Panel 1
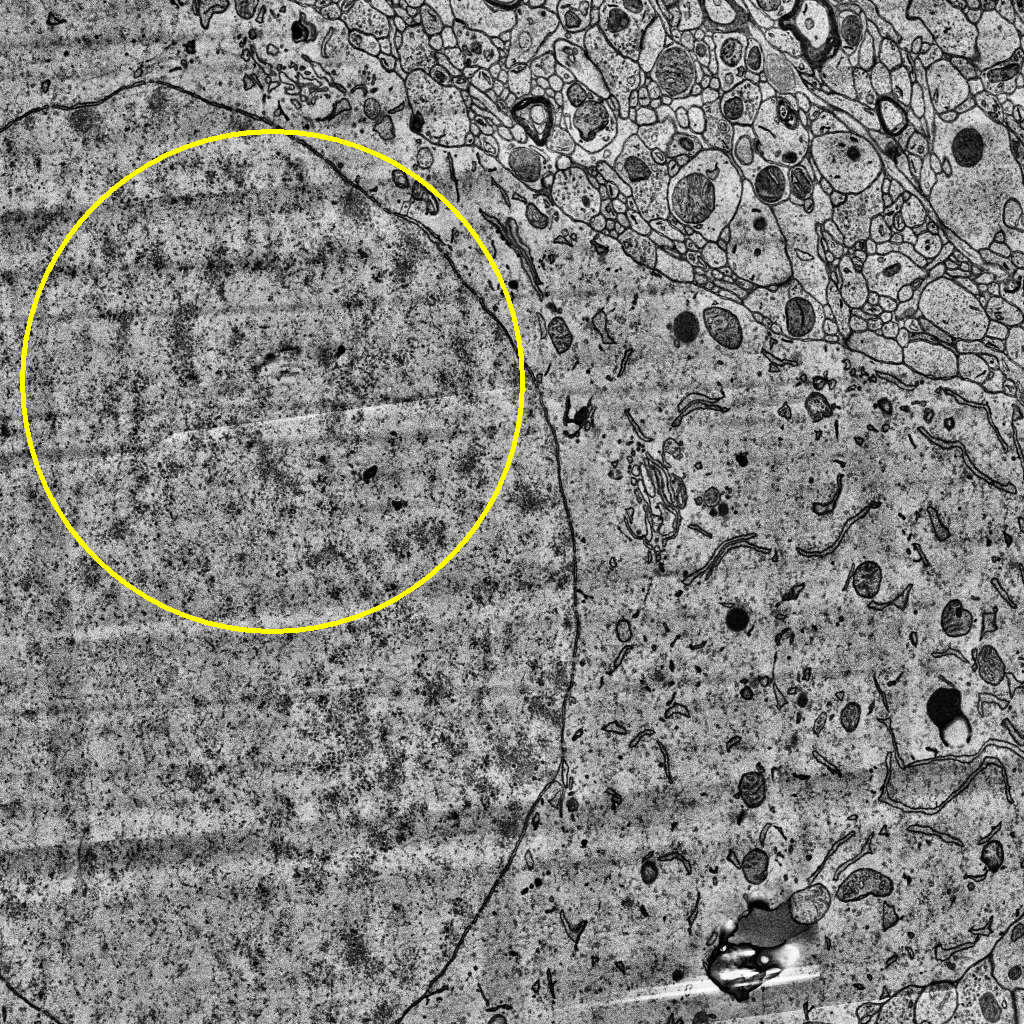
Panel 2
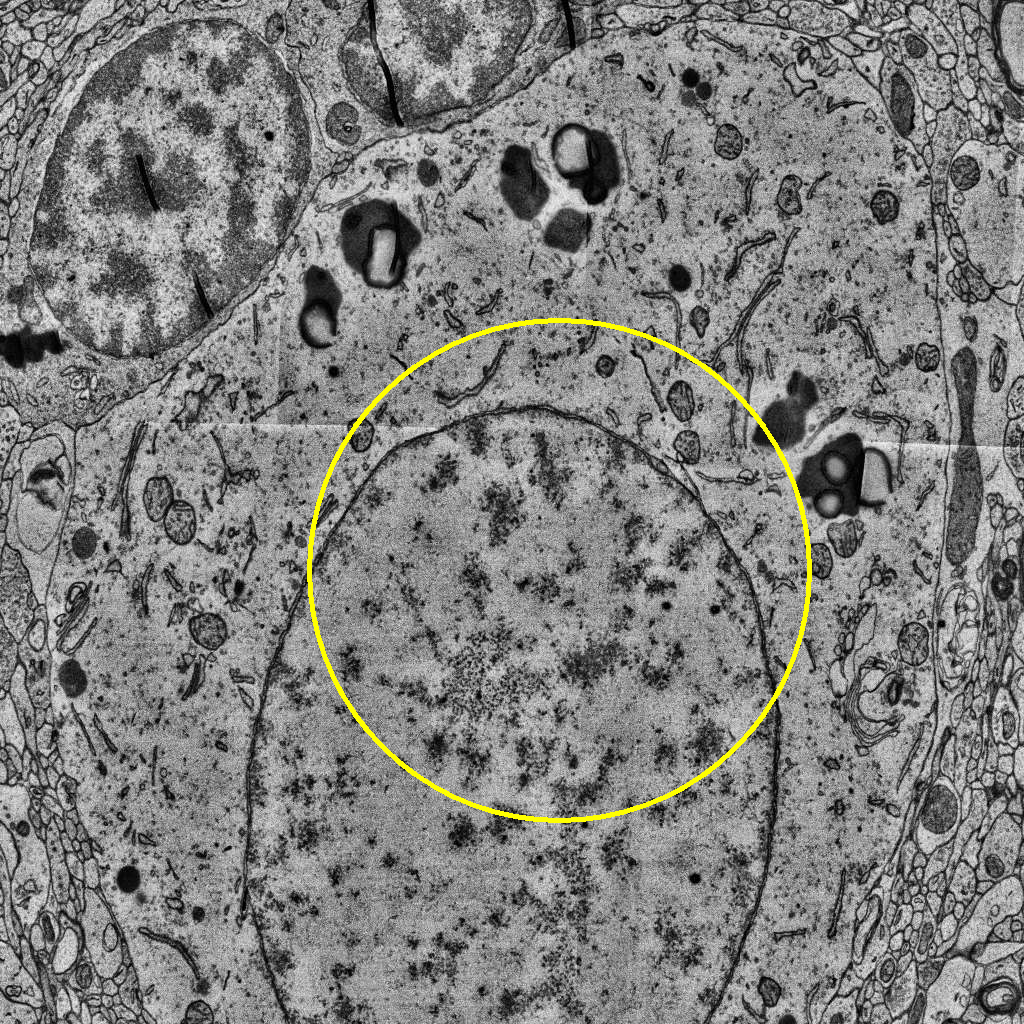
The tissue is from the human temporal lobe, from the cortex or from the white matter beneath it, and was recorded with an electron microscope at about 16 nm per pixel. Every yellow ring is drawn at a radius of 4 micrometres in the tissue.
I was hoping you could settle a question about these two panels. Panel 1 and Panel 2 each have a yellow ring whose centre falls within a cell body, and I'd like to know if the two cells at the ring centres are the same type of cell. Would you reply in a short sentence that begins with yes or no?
Yes, both are the same type of cell.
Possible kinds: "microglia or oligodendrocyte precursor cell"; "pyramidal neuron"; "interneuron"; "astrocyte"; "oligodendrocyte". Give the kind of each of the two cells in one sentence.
Both cells are the same kind, each one being a pyramidal neuron.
